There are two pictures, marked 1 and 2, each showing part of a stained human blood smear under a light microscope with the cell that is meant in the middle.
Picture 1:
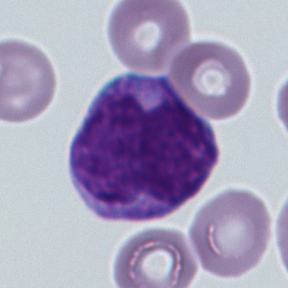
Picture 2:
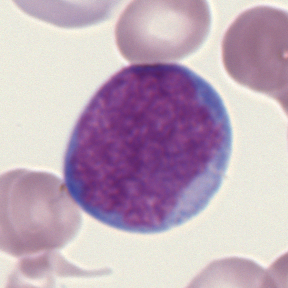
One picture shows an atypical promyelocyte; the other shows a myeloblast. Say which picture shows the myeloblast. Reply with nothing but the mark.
2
